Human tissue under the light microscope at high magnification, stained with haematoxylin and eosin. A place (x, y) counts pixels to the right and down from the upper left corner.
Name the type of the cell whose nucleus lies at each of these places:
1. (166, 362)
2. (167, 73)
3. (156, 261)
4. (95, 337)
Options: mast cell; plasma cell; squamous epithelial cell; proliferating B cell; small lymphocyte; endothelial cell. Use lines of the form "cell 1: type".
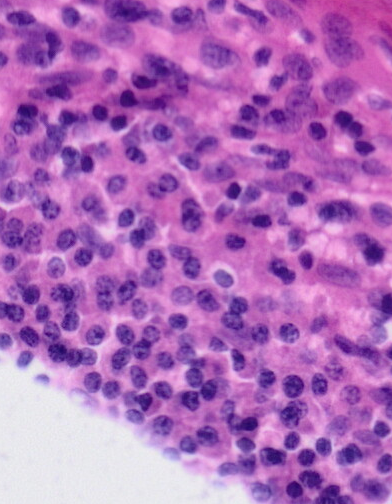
cell 1: plasma cell
cell 2: squamous epithelial cell
cell 3: plasma cell
cell 4: plasma cell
